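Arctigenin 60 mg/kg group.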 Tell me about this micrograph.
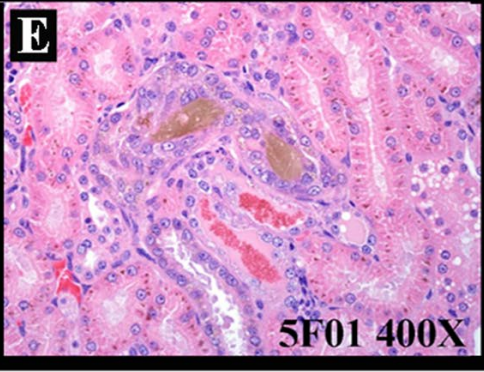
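This is kidney tissue with renal tubules lined by cuboidal epithelium with pink cytoplasm and round purple nuclei. Several tubule lumens contain homogeneous golden-brown pigmented material, and a nearby vessel is packed with red blood cells.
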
